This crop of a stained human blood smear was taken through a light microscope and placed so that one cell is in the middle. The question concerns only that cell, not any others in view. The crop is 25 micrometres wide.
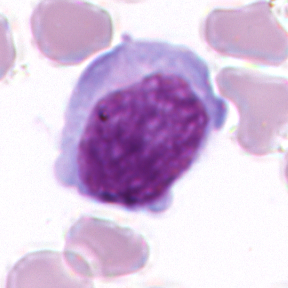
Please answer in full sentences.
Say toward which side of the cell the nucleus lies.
It is shifted toward the bottom of the cell.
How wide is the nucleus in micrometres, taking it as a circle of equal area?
The diameter of the nucleus comes to about 11 micrometres.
